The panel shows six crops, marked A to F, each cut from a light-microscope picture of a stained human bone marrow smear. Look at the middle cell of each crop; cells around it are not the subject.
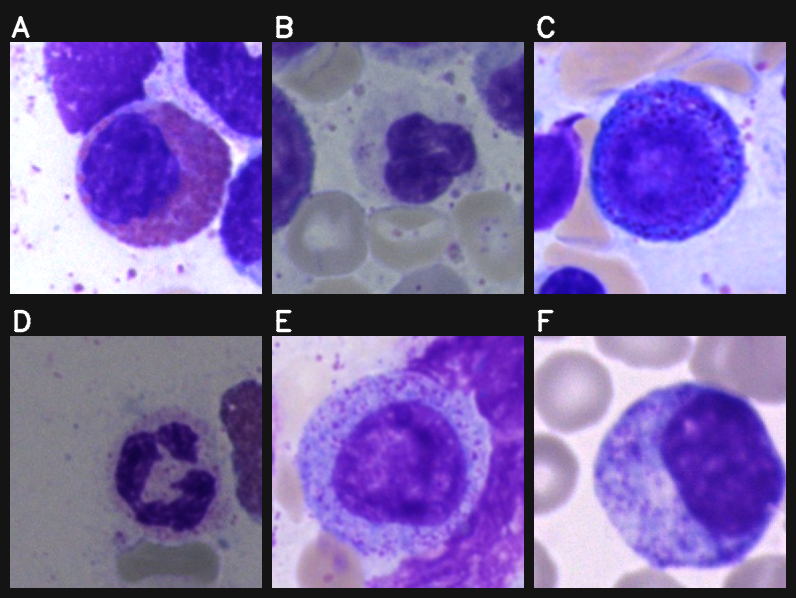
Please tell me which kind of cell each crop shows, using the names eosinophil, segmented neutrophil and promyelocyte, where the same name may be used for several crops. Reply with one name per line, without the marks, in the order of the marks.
eosinophil
segmented neutrophil
promyelocyte
segmented neutrophil
promyelocyte
promyelocyte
